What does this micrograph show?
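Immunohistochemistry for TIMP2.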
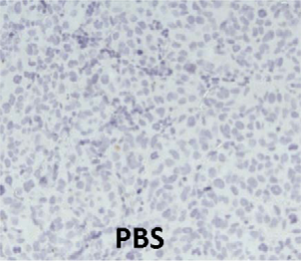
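This is a section of solid tumor in which densely packed tumor cells form continuous sheets. The nuclei are round to oval, blue, and fairly uniform in size, with little cytoplasm around each. Between the sheets run a few thin, darker bands of stroma. There is essentially no brown stain anywhere in the field, so only the blue counterstain is visible.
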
